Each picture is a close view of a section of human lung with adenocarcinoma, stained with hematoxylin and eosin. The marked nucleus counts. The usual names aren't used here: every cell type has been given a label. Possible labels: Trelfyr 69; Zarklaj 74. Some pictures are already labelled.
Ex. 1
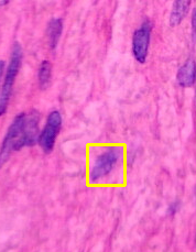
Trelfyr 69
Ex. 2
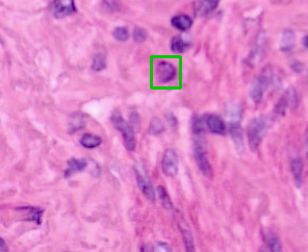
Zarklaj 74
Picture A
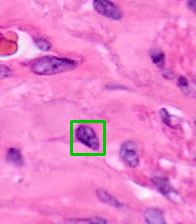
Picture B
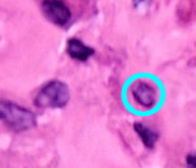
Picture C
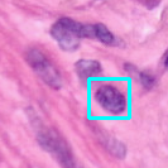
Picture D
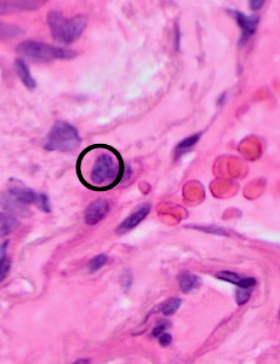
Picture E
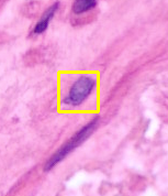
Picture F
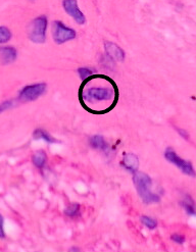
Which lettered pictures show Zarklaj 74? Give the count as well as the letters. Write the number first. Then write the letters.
Count: 5 (A, B, C, D, F)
